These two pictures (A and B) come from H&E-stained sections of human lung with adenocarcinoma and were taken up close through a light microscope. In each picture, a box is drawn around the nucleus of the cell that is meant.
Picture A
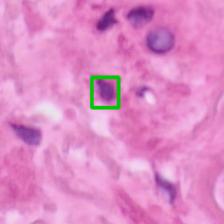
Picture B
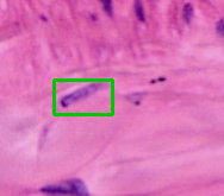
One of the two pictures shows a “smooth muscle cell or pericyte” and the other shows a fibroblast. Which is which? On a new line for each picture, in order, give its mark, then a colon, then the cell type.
A: smooth muscle cell or pericyte
B: fibroblast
